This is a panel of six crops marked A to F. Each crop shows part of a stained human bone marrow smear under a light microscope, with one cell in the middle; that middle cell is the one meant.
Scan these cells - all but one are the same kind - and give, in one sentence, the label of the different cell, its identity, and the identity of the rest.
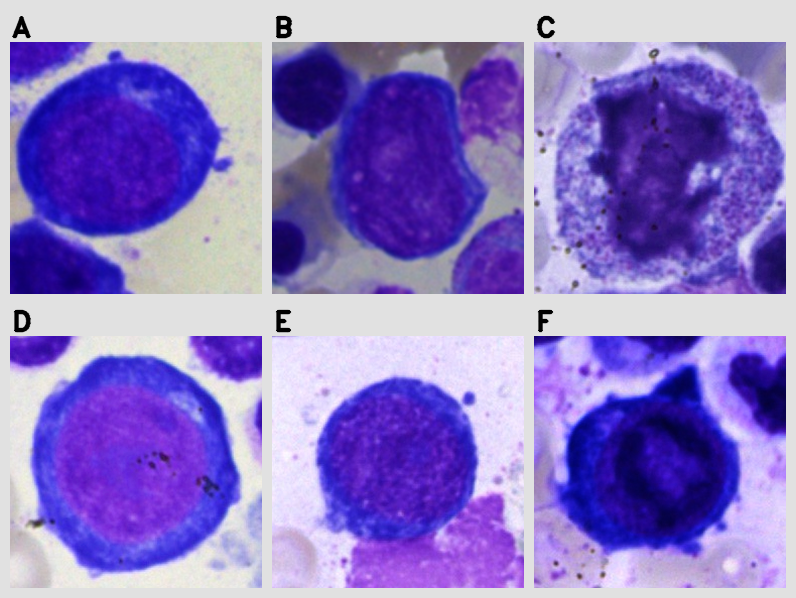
Only crop C differs, being a promyelocyte, while the others all show proerythroblasts.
